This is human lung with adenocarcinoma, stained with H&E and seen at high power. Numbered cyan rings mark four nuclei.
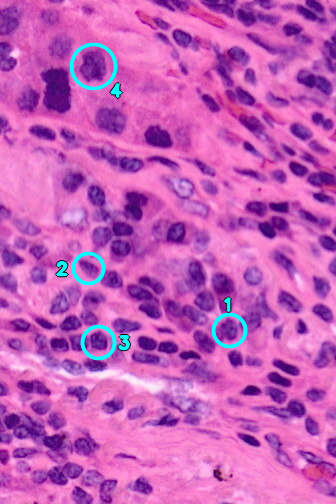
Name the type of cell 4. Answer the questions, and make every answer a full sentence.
Cell 4, as marked in the section, is a carcinoma cell.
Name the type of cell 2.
The cell marked with the number 2 is a lymphocyte.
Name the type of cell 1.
Classified as a lymphocyte is the cell with the number 1.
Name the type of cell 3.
The nucleus labeled 3 belongs to a lymphocyte.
